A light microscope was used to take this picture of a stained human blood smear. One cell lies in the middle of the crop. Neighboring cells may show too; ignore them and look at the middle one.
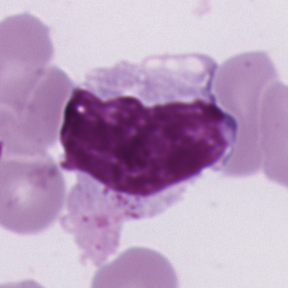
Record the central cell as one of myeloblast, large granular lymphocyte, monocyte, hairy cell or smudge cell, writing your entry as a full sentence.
This crop is built around a myeloblast at its centre.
